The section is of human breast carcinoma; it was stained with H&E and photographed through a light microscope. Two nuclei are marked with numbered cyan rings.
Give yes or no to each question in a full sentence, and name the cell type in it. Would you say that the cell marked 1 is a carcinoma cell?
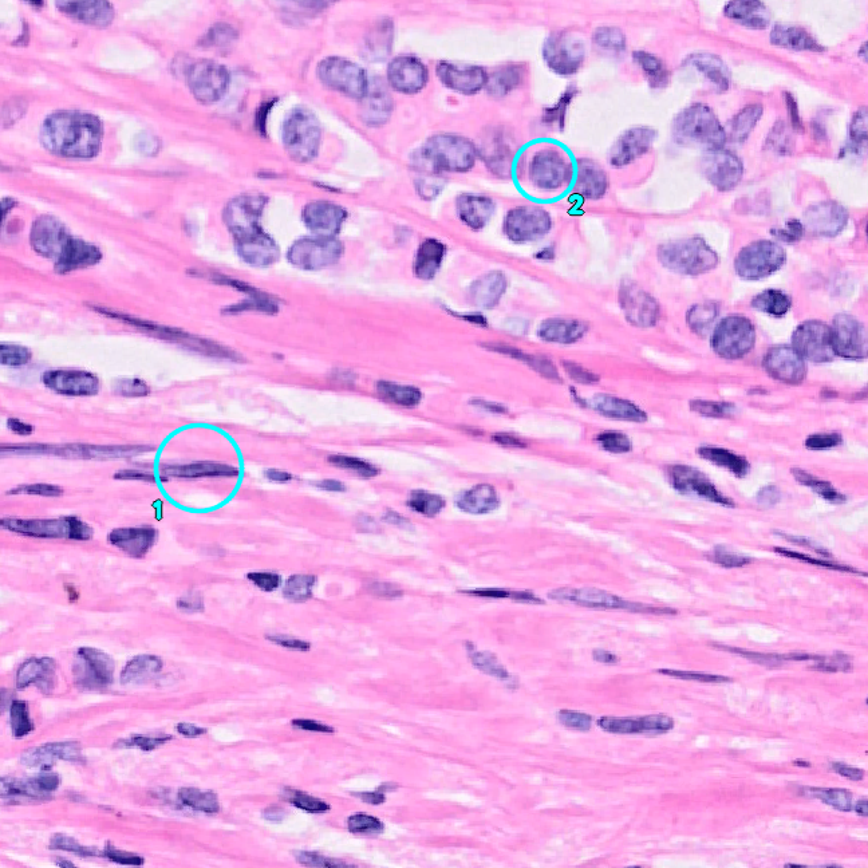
No, it is an endothelial cell, rather than a carcinoma cell, that carries number 1.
